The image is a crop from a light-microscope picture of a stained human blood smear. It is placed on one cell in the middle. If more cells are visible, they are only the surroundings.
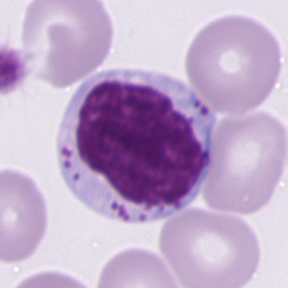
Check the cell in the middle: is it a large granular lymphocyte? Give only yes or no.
yes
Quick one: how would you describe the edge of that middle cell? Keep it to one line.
If you check the edge, you will find it smooth without projections.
